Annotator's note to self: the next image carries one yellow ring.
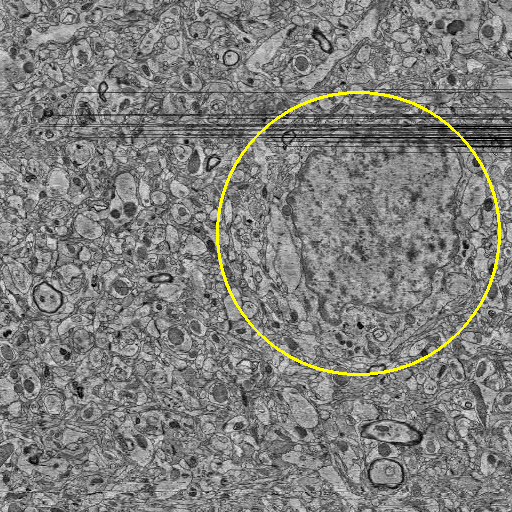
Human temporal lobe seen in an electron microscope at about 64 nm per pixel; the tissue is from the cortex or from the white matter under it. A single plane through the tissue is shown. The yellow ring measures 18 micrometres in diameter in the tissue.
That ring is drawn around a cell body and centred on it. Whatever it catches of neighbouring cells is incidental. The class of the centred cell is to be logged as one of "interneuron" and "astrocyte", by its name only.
interneuron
